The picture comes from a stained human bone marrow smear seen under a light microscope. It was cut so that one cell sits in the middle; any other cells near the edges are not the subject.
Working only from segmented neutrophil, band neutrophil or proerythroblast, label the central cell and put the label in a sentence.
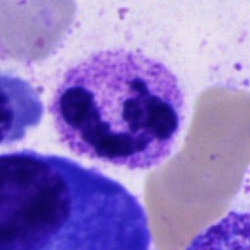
Looking at the middle of the crop, the cell there is a segmented neutrophil.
